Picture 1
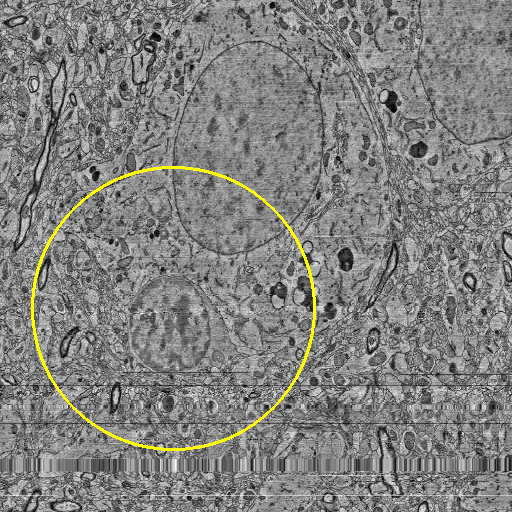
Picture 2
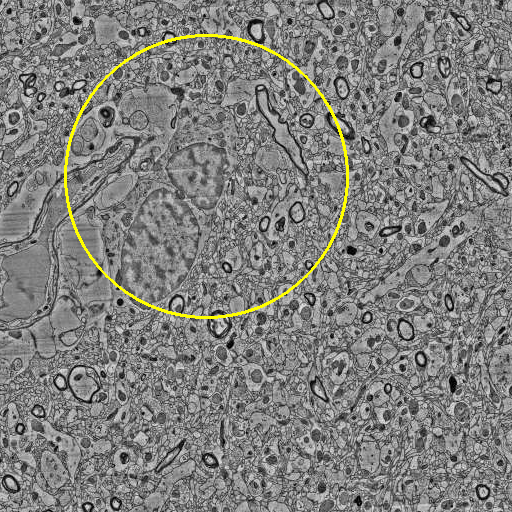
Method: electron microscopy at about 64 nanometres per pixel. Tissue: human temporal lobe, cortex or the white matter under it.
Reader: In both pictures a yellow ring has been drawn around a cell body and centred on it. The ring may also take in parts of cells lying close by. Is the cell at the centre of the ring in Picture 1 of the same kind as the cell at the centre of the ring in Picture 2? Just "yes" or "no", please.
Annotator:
yes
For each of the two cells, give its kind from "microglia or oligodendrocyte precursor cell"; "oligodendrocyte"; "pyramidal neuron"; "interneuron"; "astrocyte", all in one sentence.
Both pictures show an oligodendrocyte at the centre of the ring.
